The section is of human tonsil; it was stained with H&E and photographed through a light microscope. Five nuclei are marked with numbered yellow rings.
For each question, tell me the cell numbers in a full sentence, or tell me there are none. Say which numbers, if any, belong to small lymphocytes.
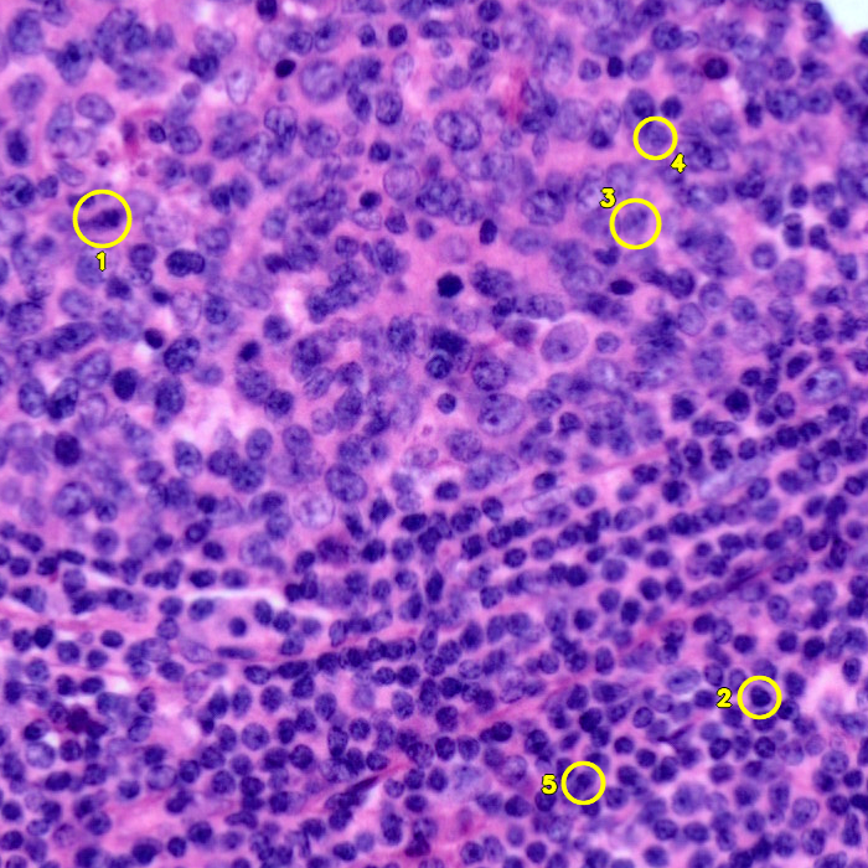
The cells carrying the numbers 2 and 5 are small lymphocytes.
